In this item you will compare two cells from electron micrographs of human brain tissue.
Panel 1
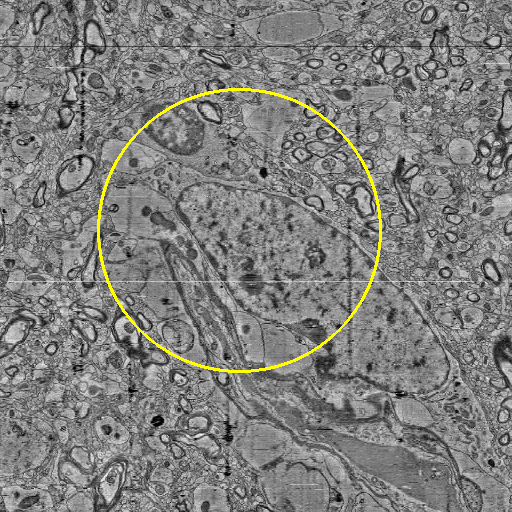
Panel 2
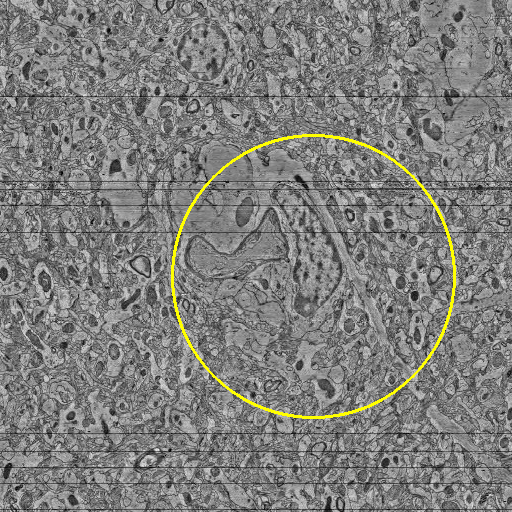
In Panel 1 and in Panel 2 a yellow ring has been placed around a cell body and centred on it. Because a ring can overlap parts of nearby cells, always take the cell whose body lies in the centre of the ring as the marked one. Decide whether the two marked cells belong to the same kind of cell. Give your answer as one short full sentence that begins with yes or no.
Yes, the two marked cells belong to the same kind of cell.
